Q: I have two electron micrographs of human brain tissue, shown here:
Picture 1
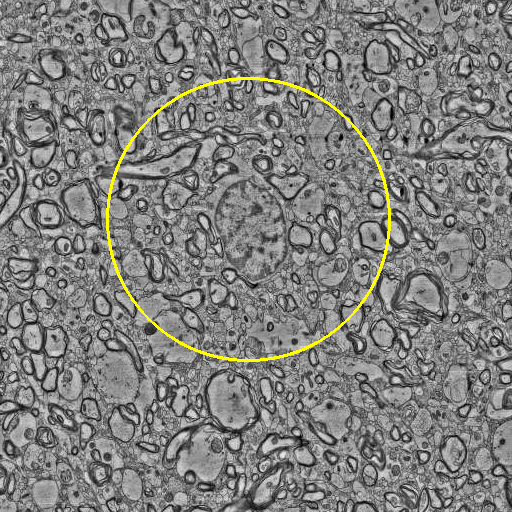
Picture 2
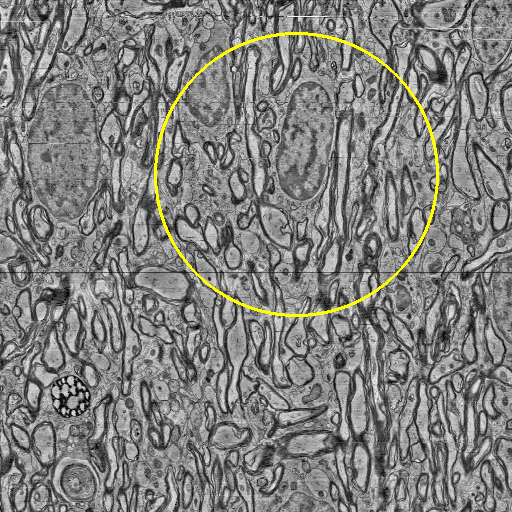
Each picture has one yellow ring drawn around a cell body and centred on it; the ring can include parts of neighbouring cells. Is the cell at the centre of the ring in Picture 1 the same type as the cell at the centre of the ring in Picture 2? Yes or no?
no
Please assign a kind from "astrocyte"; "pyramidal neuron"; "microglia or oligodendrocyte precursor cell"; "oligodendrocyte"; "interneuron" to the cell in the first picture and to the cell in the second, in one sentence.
In the first picture we have an oligodendrocyte, and in the second, a microglial cell or oligodendrocyte precursor cell.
